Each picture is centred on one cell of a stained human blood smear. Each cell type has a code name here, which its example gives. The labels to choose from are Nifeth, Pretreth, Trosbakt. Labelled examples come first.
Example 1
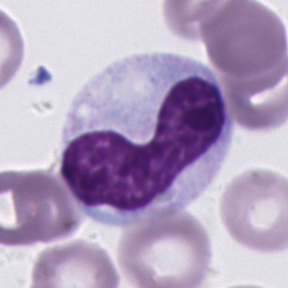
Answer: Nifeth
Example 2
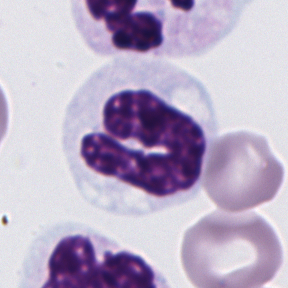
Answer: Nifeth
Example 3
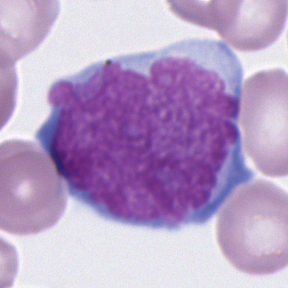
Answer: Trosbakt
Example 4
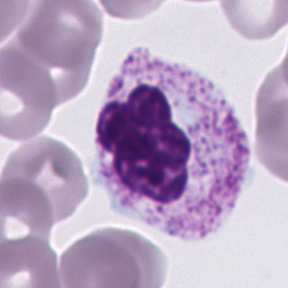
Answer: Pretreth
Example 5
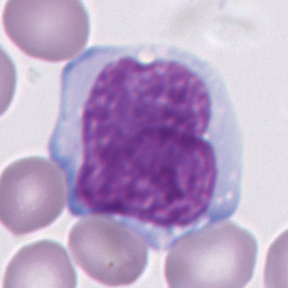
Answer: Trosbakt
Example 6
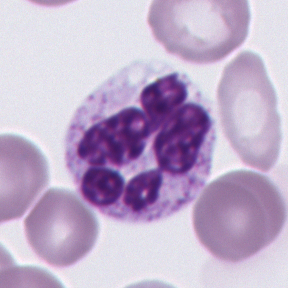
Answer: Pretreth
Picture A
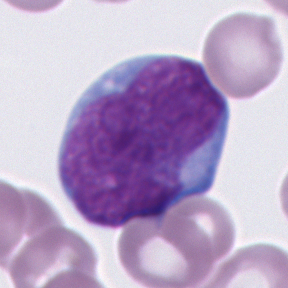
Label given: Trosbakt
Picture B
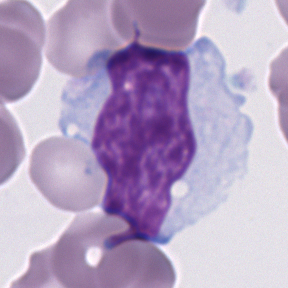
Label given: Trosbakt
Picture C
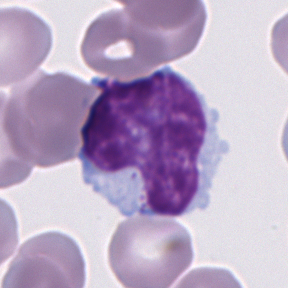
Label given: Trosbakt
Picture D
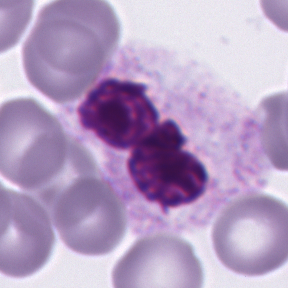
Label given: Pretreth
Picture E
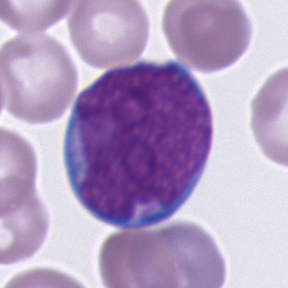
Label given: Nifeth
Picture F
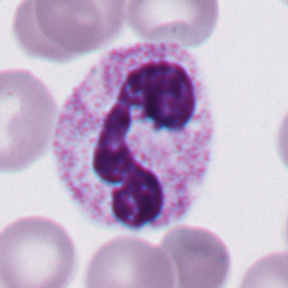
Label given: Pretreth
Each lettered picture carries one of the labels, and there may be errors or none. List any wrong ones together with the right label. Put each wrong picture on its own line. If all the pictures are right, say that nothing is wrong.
E is labelled Nifeth; correct label: Trosbakt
